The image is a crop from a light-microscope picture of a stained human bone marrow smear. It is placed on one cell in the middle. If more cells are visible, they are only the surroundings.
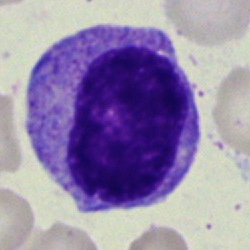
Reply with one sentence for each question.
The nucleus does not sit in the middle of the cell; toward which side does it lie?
The nucleus is pushed toward the lower right of the cell.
